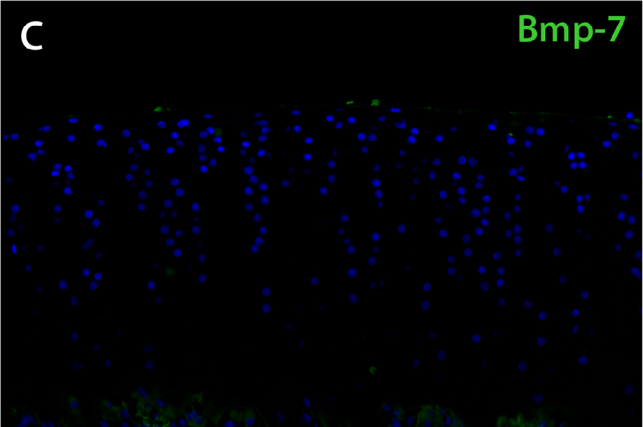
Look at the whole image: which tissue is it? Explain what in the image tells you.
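A smooth, continuous surface runs along the top of the tissue. Rounded nuclei are scattered singly and in short vertical rows through a cell-poor matrix. The tissue has few cells relative to its matrix and no vessels.
Conclusion: articular cartilage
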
